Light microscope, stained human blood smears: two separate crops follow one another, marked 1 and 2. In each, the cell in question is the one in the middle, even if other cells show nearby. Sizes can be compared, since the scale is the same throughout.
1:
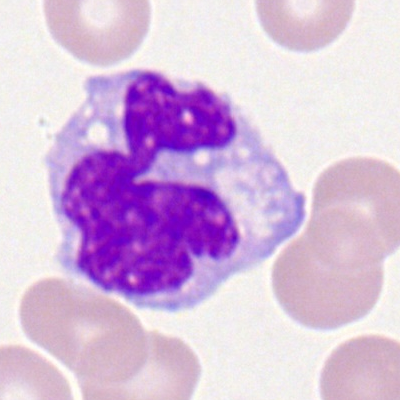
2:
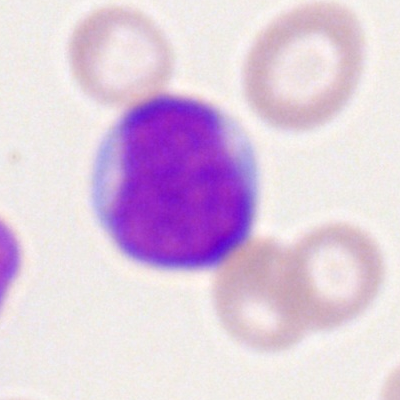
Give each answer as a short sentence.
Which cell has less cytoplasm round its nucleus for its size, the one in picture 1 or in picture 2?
Of the two, the nucleus in picture 2 makes up the greater part of its cell.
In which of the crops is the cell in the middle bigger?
The cell in picture 1 is larger, with about 2 times the area of the one in picture 2.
